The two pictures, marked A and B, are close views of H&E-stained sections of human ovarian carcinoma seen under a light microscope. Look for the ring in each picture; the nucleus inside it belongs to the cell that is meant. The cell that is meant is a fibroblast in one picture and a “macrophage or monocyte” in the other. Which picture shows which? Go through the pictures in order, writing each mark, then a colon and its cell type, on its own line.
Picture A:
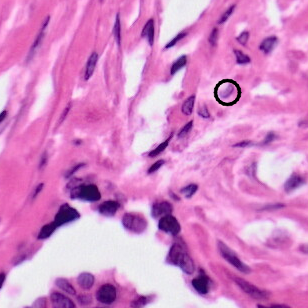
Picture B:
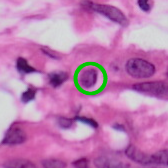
A: fibroblast
B: macrophage or monocyte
